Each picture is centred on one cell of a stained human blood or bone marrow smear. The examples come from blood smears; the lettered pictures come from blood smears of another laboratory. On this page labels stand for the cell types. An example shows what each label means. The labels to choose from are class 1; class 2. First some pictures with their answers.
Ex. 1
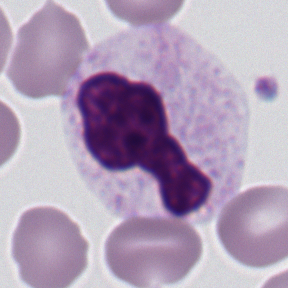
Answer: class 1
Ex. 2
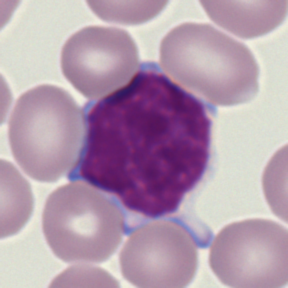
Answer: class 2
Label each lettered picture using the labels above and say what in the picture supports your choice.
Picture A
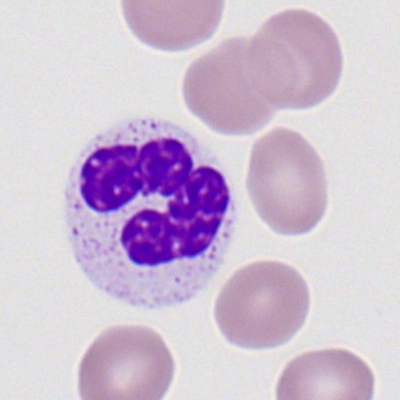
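Answer: class 1. The nucleus is divided into several lobes arranged in a curve around a small central gap.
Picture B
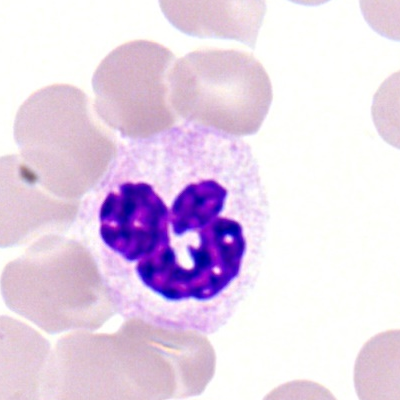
Answer: class 1. The cytoplasm is abundant and pale pinkish-lilac.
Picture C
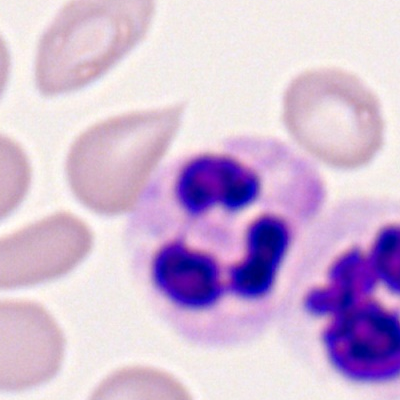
Answer: class 1. The cytoplasm is abundant and pale pinkish-lilac.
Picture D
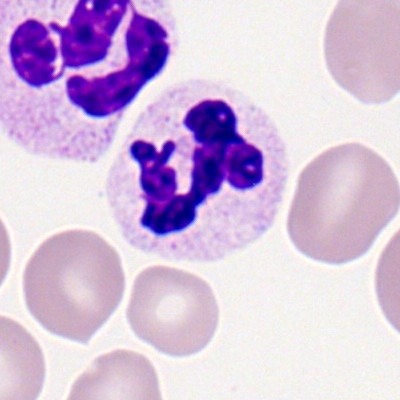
Answer: class 1. The cytoplasm is plentiful and pale pink-lilac.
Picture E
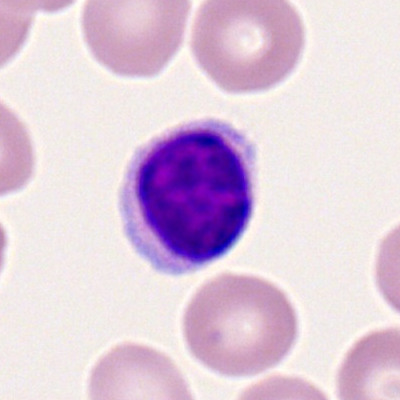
Answer: class 2. The cytoplasm forms only a thin rim around the nucleus.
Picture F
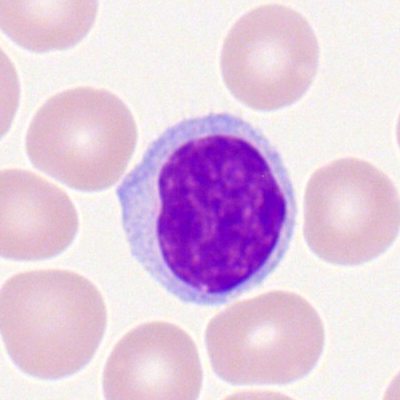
Answer: class 2. The nucleus fills most of the cell, leaving a rim of cytoplasm that is widest on the left.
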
